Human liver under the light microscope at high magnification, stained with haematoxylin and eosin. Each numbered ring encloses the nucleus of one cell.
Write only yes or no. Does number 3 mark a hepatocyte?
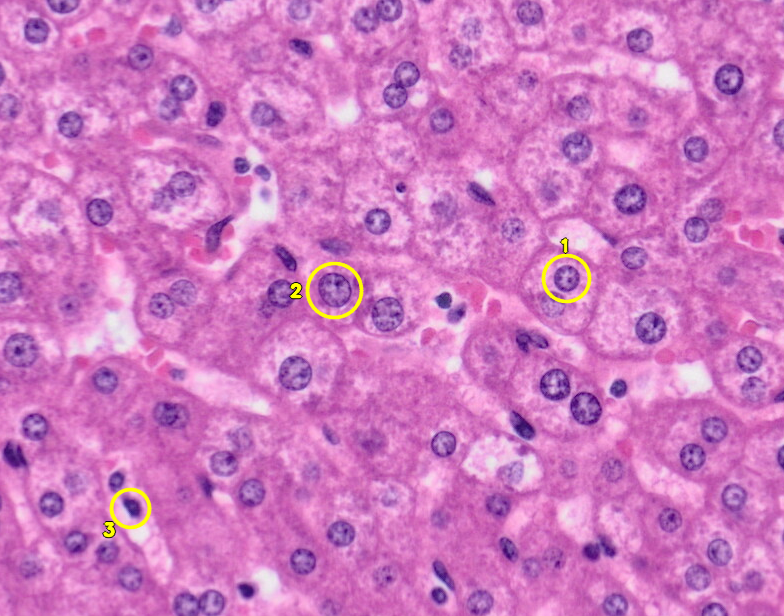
no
